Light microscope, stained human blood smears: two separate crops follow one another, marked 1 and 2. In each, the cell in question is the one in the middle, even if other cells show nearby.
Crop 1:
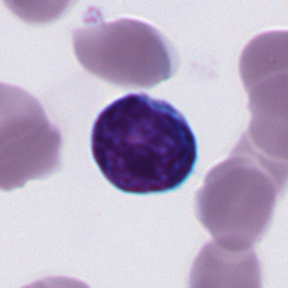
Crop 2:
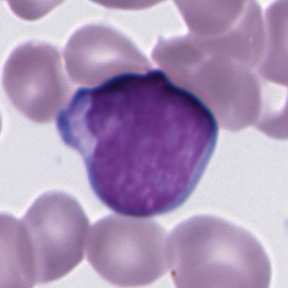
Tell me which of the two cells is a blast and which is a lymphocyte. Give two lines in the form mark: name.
1: lymphocyte
2: blast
